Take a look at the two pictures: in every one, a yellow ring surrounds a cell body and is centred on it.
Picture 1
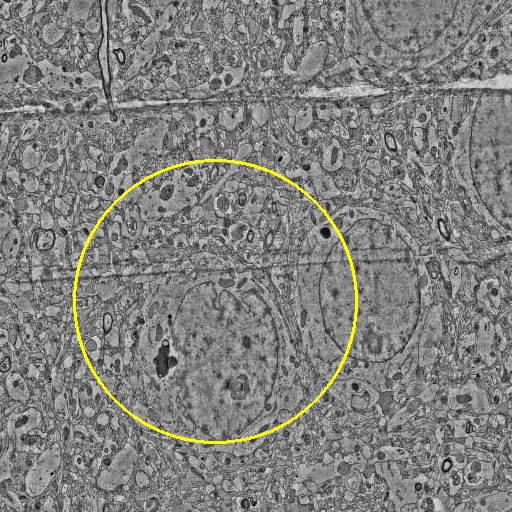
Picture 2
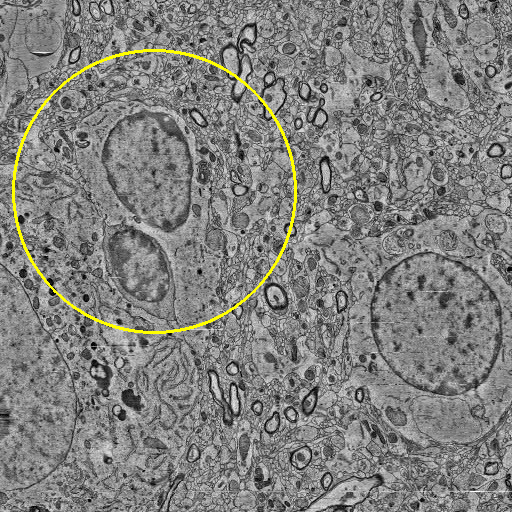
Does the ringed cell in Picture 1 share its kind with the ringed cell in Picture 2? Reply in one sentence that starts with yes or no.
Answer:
No, the two centred cells, one per picture, are of two kinds.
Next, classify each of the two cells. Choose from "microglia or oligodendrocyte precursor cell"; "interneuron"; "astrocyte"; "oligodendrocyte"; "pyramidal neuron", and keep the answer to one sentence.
In the first picture it is an interneuron; in the second it is a microglial cell or oligodendrocyte precursor cell.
